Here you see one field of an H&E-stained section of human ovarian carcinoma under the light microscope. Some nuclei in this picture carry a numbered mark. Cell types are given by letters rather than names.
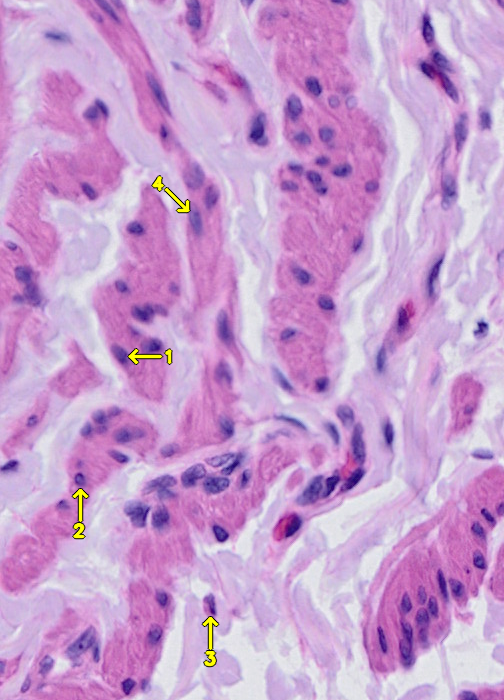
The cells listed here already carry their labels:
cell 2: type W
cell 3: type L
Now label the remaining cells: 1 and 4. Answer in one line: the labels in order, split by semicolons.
type W; type W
